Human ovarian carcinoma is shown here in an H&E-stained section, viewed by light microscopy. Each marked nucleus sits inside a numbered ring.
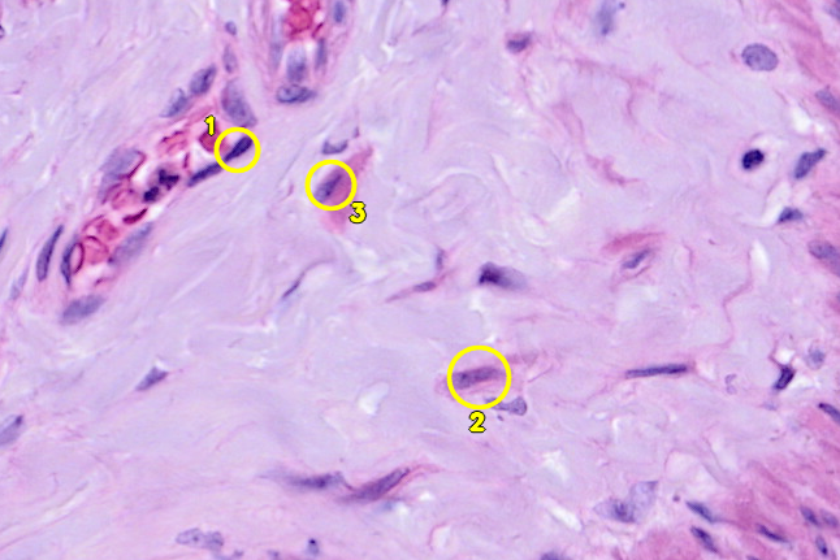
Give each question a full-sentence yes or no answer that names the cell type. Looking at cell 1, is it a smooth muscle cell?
No, it is an endothelial cell, rather than a smooth muscle cell, that carries number 1.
